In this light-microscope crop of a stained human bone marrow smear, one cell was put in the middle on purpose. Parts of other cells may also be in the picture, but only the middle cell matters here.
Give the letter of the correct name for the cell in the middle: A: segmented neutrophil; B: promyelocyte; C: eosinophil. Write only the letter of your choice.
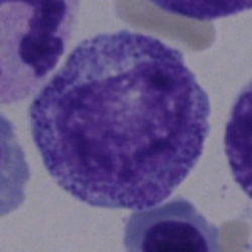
B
